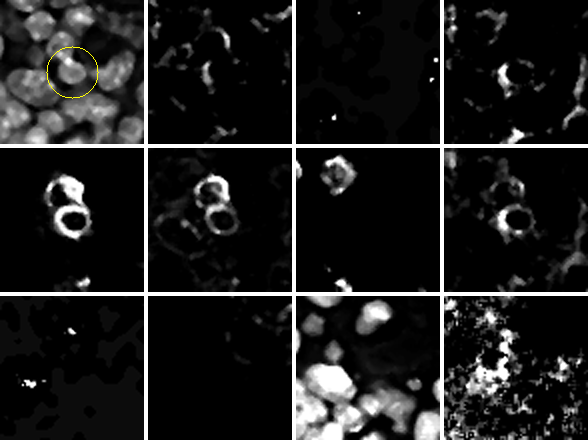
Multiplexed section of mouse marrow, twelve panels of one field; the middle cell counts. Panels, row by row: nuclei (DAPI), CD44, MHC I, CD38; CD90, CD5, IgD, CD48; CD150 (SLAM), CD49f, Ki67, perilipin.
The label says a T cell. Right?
Right.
